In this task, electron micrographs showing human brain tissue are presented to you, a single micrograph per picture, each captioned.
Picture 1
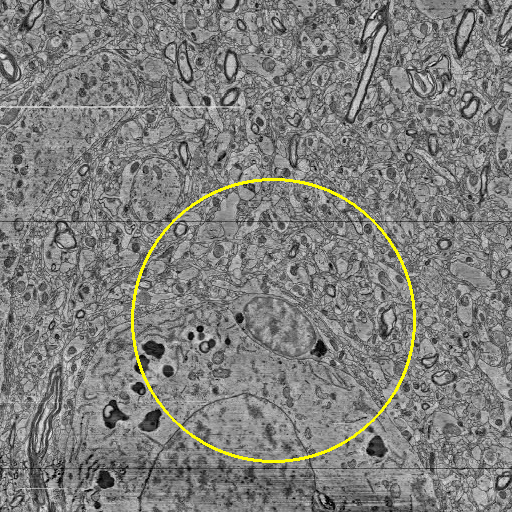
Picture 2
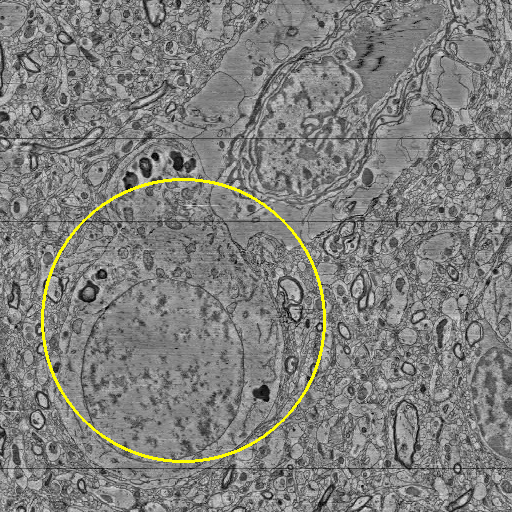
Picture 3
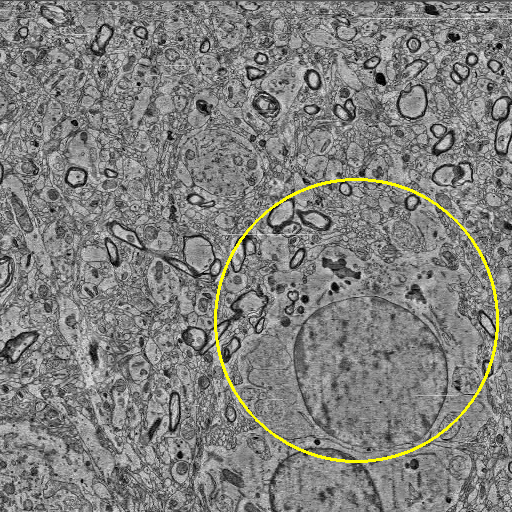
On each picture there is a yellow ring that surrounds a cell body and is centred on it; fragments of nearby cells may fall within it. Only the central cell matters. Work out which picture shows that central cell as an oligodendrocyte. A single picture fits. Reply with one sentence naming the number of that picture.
Of all the pictures, number 1 has the right cell in the centre of its ring.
